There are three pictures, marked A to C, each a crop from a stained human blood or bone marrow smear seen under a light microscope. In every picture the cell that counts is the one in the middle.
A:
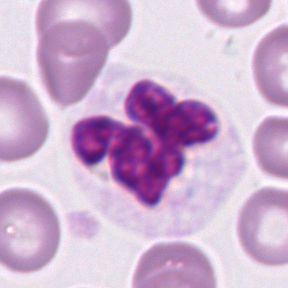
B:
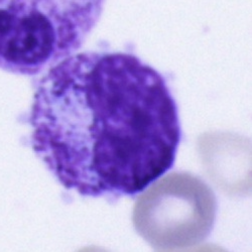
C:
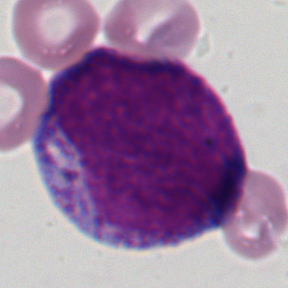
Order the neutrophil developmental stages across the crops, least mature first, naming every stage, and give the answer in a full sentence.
Reading from least to most mature, the order comes out as crop C (a promyelocyte), crop B (a myelocyte) and crop A (a segmented neutrophil).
